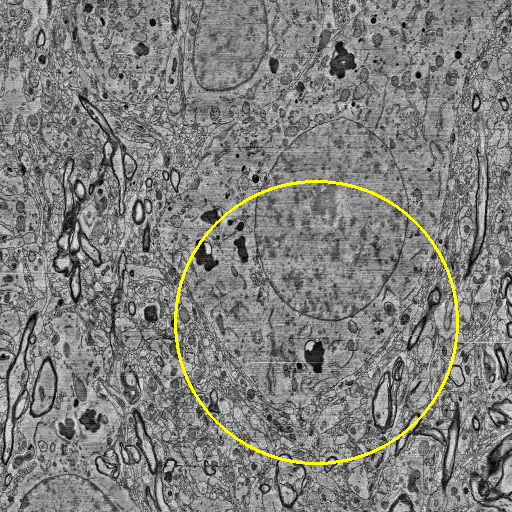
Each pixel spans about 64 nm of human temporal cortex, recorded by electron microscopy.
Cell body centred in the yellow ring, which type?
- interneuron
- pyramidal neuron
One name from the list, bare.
pyramidal neuron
